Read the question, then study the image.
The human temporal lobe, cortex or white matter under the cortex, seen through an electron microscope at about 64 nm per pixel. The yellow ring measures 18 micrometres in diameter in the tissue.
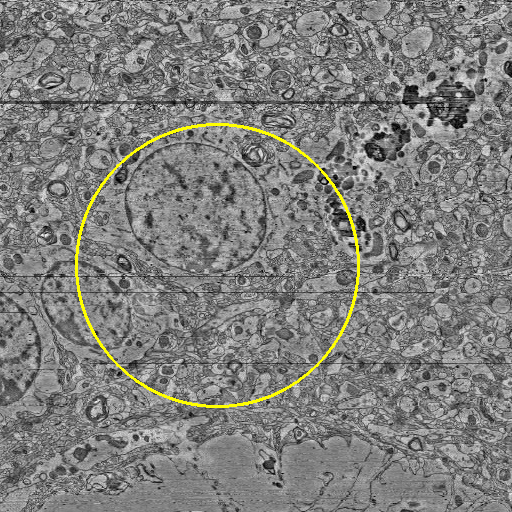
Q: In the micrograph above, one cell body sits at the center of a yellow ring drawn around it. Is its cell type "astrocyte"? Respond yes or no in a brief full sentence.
Yes, its cell type is that one.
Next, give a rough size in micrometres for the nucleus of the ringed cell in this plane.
In this plane the nucleus measures roughly 9 micrometres across.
